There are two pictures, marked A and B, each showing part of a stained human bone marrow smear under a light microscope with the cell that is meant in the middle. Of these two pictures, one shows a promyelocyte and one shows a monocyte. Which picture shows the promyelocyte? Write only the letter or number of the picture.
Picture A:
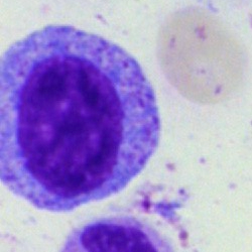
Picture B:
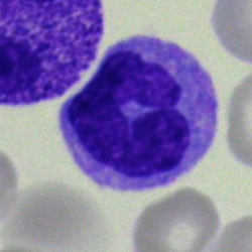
A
